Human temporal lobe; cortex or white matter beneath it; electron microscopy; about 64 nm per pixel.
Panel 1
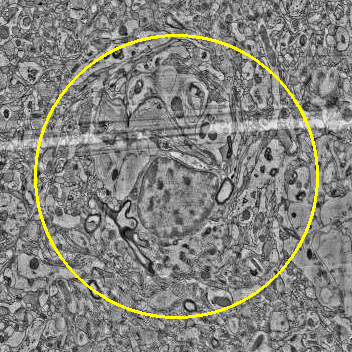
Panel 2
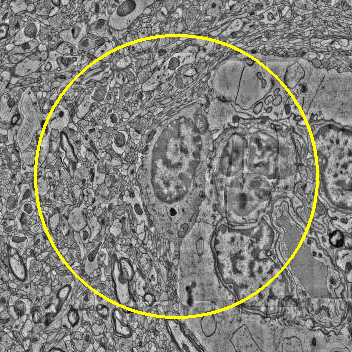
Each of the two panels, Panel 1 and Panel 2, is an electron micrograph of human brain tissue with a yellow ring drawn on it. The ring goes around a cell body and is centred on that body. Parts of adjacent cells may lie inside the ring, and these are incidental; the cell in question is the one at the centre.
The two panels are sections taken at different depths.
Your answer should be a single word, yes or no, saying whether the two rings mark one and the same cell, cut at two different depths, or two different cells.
no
